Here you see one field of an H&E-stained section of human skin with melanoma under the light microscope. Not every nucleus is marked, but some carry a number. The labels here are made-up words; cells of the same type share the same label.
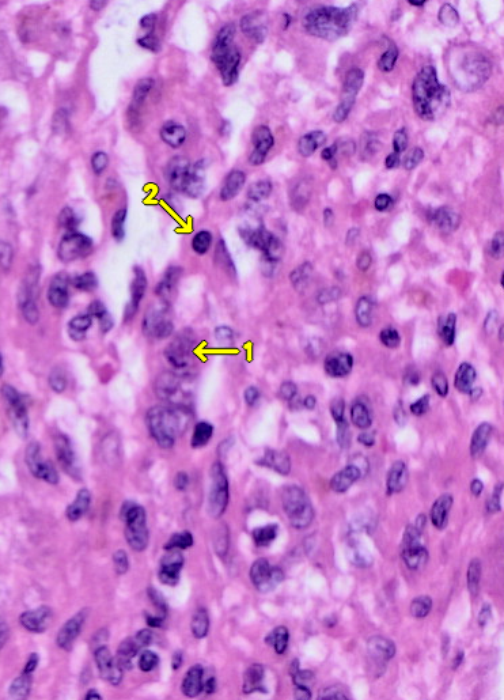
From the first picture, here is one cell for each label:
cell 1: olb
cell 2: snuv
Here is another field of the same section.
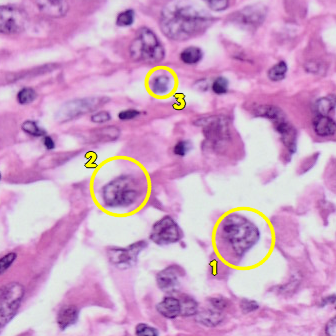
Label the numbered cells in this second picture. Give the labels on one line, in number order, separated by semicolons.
olb; olb; snuv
